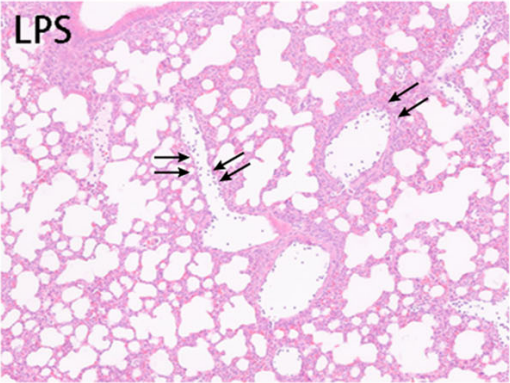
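This low-power view of lung tissue shows many rounded air spaces bounded by pink septa containing purple nuclei. Larger open lumens, one of them elongated, hold scattered small dark purple cells lying free in the space. These loose cells mark infiltration of inflammatory cells into the air spaces.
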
